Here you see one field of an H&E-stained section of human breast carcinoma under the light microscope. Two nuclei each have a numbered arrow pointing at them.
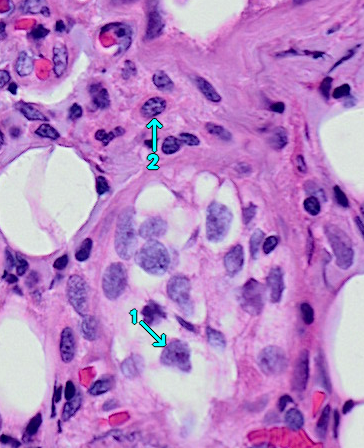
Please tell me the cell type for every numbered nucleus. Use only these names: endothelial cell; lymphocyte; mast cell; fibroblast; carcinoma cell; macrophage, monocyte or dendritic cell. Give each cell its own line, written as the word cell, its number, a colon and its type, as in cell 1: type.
cell 1: carcinoma cell
cell 2: mast cell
